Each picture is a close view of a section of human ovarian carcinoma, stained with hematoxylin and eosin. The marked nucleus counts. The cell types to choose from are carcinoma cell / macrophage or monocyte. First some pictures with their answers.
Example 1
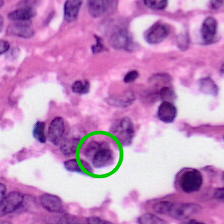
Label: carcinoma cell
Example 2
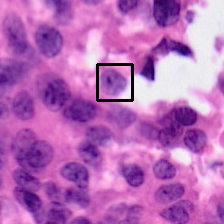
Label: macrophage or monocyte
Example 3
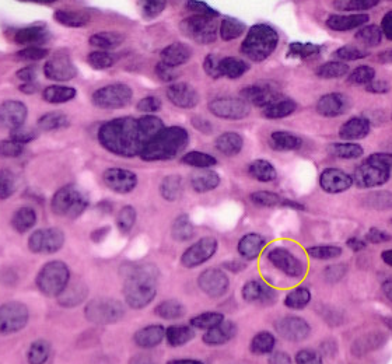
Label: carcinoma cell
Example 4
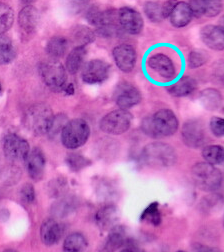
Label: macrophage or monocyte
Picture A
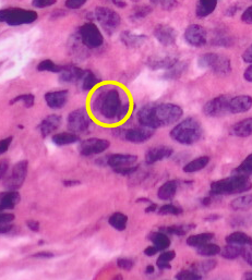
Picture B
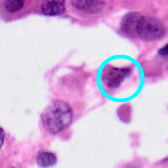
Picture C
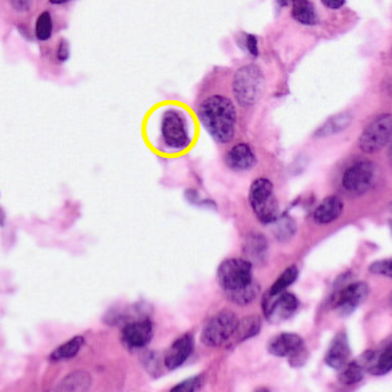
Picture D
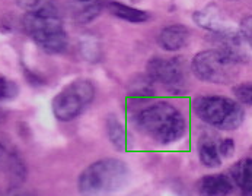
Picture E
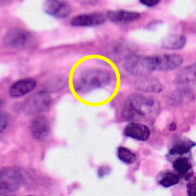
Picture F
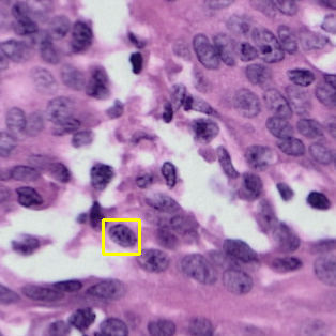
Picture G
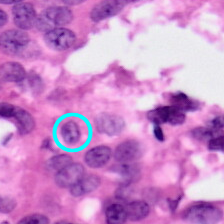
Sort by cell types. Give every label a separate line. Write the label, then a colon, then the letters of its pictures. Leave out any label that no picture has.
carcinoma cell: A, C, D, E
macrophage or monocyte: B, F, G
